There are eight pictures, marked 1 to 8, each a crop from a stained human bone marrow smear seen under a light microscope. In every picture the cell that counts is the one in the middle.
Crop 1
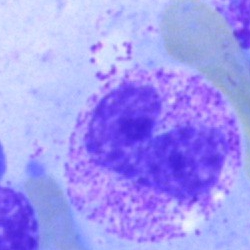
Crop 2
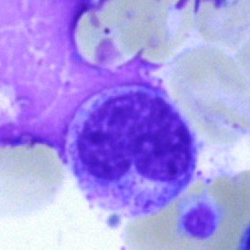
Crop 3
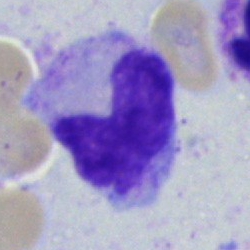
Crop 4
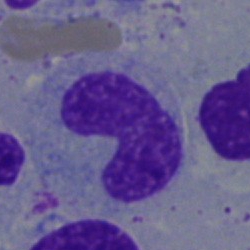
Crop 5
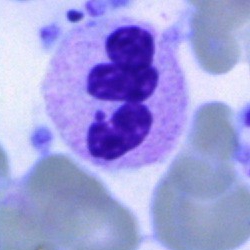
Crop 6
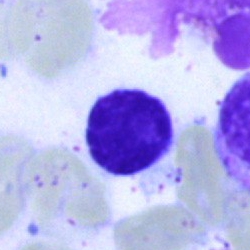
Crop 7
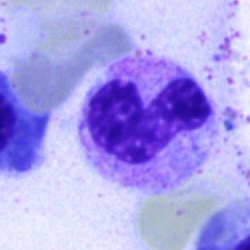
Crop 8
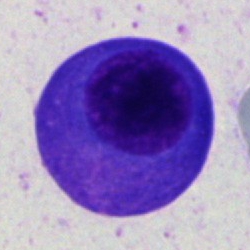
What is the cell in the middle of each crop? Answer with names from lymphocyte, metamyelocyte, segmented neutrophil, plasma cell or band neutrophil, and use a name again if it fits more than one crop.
1: band neutrophil
2: metamyelocyte
3: band neutrophil
4: band neutrophil
5: segmented neutrophil
6: lymphocyte
7: band neutrophil
8: plasma cell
